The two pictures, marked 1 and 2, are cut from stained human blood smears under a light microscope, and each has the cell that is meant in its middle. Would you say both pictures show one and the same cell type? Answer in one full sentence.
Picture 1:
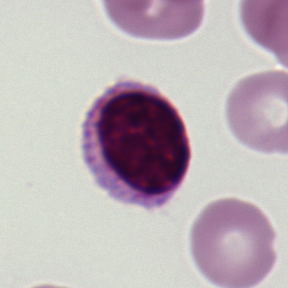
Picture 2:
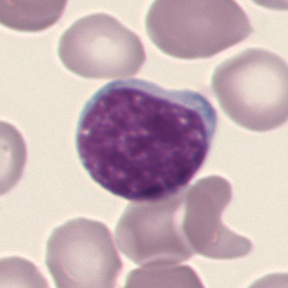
Yes, both cells are typical lymphocytes.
